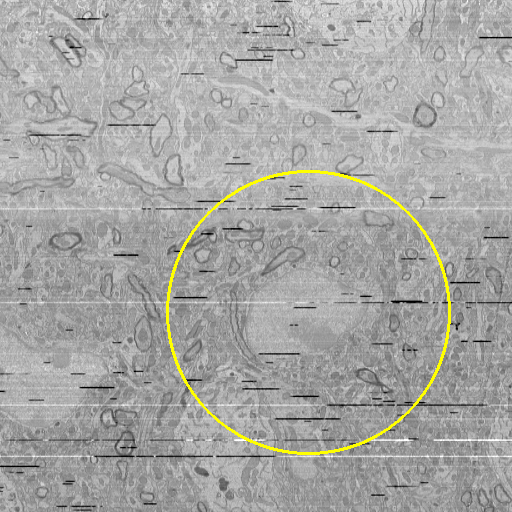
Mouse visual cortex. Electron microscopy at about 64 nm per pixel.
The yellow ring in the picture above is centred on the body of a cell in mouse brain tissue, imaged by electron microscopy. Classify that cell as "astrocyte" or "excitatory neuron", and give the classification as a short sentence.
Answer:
The cell in the middle of the ring is an astrocyte.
